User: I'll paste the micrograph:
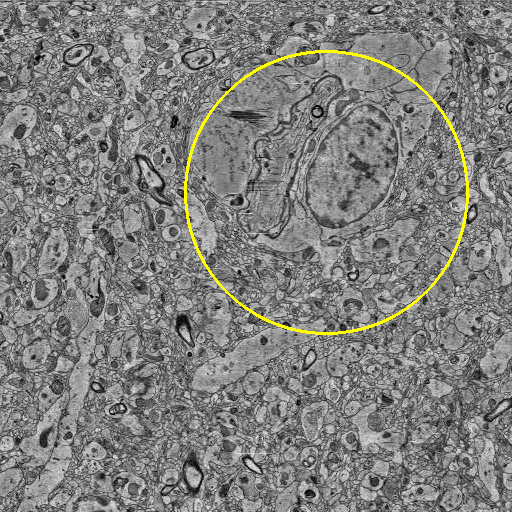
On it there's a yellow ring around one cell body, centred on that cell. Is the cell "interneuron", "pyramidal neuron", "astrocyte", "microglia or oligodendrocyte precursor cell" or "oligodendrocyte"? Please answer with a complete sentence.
The cell ringed in yellow is a microglial cell or oligodendrocyte precursor cell.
